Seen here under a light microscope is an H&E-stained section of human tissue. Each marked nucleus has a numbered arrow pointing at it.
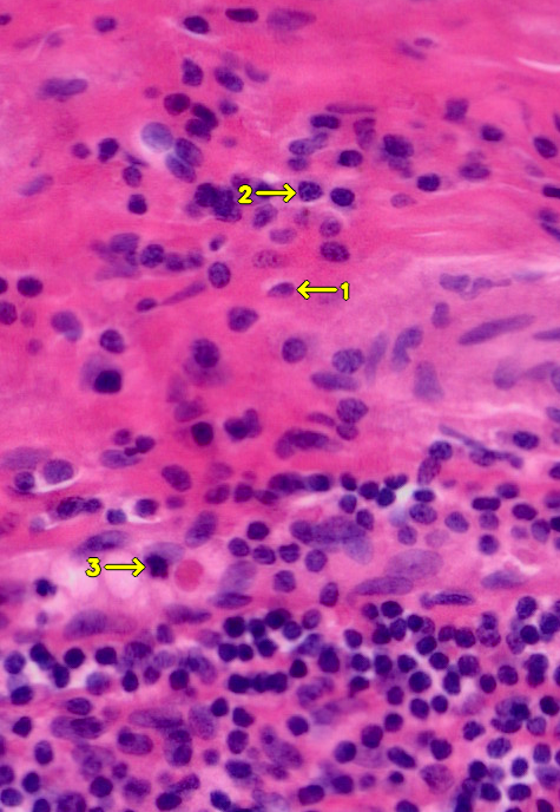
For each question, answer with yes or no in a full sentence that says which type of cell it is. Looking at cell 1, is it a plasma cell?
No, number 1 is assigned to a mast cell, not to a plasma cell.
